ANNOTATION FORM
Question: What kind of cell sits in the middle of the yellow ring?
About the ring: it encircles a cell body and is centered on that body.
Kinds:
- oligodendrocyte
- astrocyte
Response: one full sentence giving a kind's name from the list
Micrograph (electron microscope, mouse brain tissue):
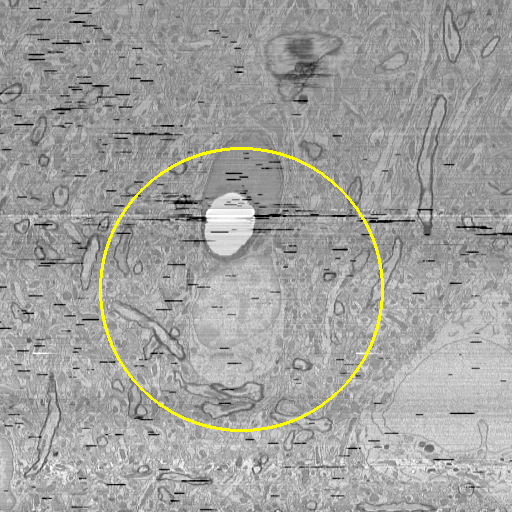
The kind of cell found at the center of the yellow ring in the micrograph is an oligodendrocyte.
